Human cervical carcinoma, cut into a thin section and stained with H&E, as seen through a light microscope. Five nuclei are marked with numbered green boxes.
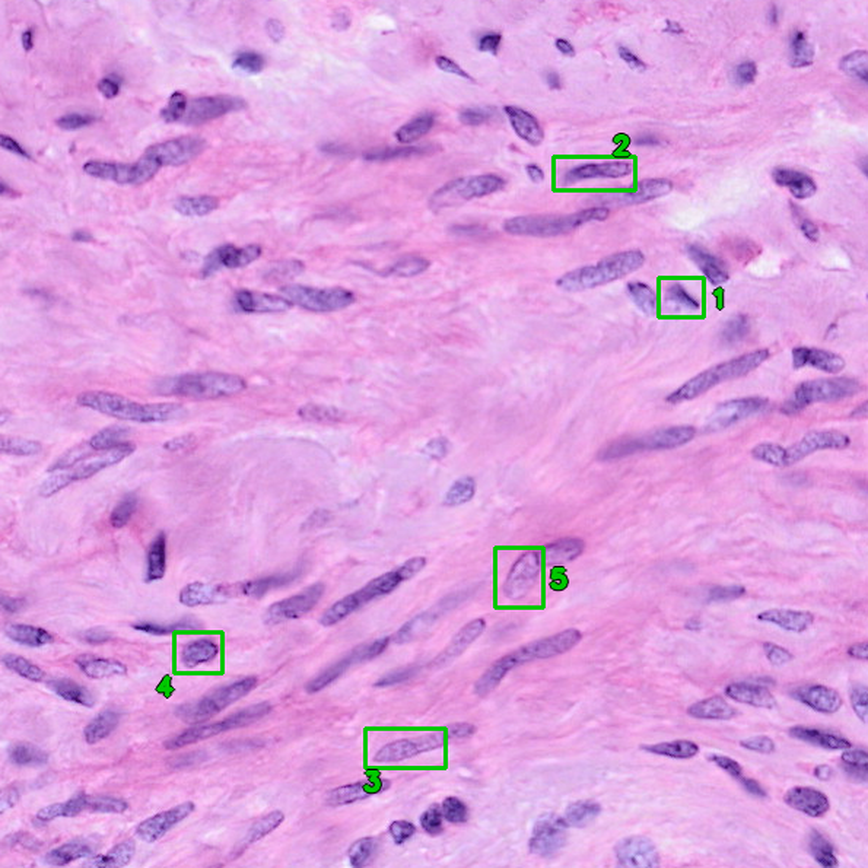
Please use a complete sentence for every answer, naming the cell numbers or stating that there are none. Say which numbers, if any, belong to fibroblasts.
The cells identified by the numbers 1, 2 and 3 are fibroblasts.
